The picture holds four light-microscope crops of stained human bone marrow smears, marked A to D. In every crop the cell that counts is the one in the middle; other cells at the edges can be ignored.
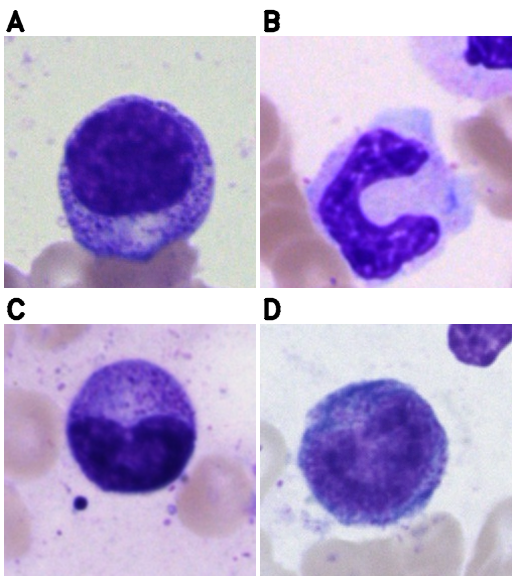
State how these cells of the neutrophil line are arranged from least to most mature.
D, A, C, B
